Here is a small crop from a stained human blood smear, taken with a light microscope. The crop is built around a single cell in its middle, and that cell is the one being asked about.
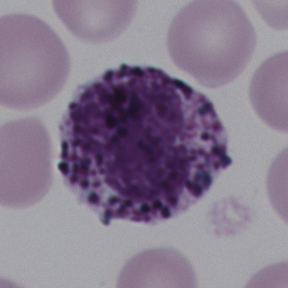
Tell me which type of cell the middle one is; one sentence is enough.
At the crop's centre, the cell is a basophil.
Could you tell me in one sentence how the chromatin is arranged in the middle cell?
The chromatin is fine, with no coarse clumping anywhere.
